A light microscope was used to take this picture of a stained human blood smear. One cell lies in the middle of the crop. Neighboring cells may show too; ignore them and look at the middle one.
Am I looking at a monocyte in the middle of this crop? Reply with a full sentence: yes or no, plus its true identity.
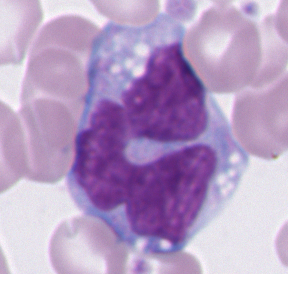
Yes, the cell located at the center is a monocyte.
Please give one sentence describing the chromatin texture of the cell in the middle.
There is no coarse clumping; the chromatin stays fine throughout.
